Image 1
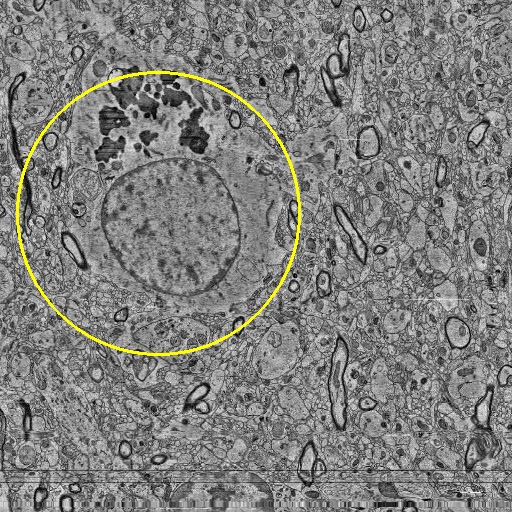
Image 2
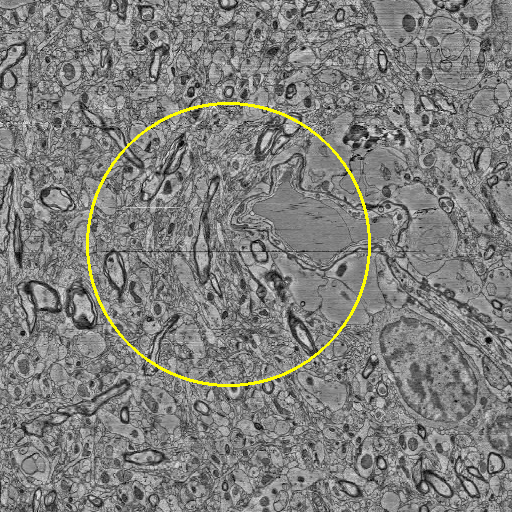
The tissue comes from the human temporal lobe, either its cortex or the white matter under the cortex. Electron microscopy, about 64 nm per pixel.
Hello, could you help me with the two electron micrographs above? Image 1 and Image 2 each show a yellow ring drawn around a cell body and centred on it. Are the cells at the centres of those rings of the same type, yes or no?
no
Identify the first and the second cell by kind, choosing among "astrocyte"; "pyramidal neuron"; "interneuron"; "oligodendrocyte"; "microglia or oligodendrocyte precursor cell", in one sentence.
The one in the first picture is an astrocyte, while the one in the second is a microglial cell or oligodendrocyte precursor cell.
